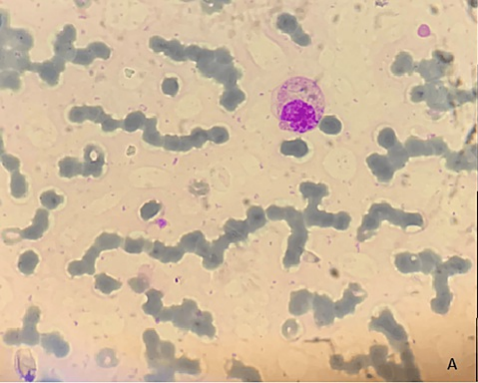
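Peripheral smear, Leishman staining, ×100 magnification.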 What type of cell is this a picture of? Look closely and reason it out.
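Plasma cells. A single nucleated cell stands among the red cells. Its purple nucleus has clumped chromatin and sits off-centre. A rim of pale cytoplasm surrounds the nucleus.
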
